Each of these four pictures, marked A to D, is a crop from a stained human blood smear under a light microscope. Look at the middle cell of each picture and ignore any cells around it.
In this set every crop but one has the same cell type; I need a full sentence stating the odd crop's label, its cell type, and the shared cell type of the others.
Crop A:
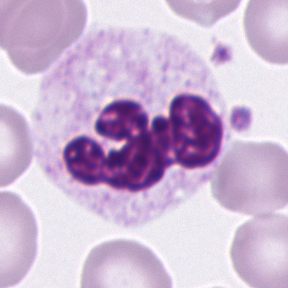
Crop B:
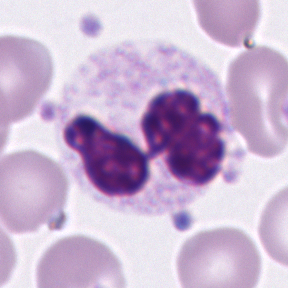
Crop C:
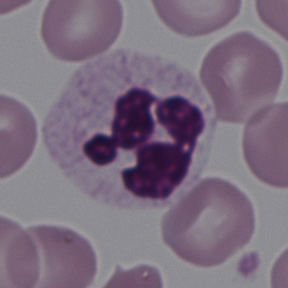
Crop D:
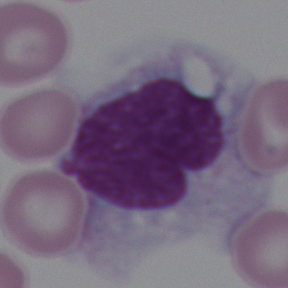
Unlike the other crops, all showing segmented neutrophils, crop D is a monocyte.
